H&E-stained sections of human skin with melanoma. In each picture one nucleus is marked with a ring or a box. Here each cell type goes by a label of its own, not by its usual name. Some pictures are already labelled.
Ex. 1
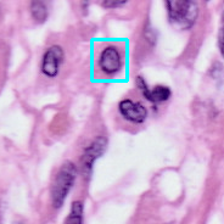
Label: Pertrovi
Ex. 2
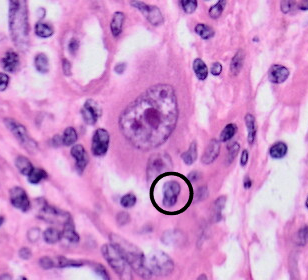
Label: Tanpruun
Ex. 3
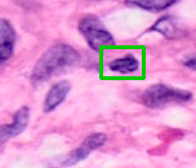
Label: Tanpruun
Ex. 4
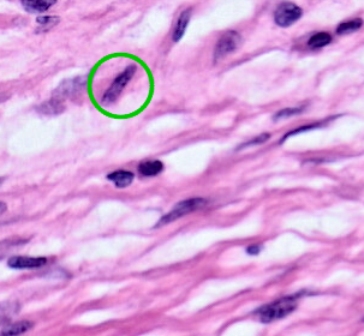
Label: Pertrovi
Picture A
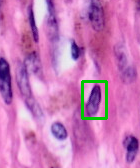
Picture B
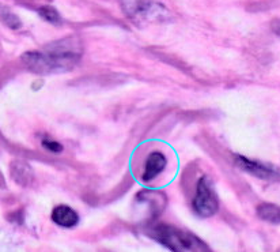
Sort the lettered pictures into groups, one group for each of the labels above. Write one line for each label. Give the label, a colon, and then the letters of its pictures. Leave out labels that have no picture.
Tanpruun: A, B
